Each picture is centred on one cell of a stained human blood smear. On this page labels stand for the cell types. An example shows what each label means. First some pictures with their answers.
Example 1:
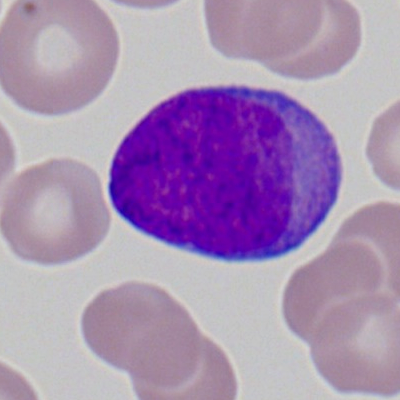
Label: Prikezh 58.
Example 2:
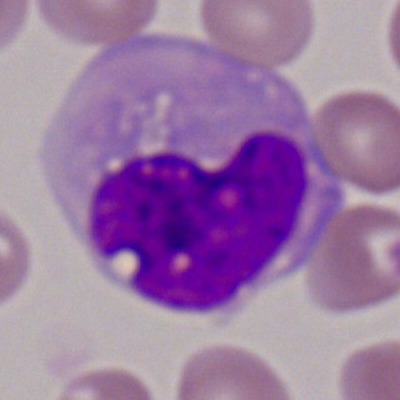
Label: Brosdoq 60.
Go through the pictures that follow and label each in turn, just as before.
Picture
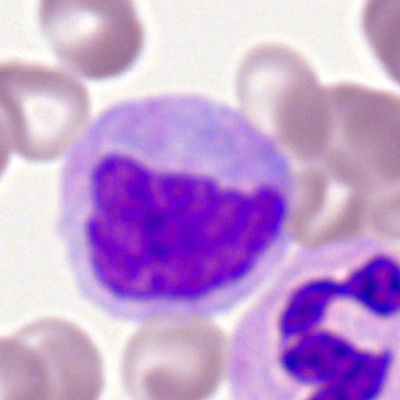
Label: Brosdoq 60.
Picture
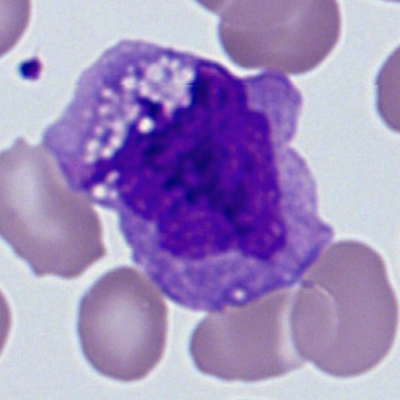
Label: Brosdoq 60.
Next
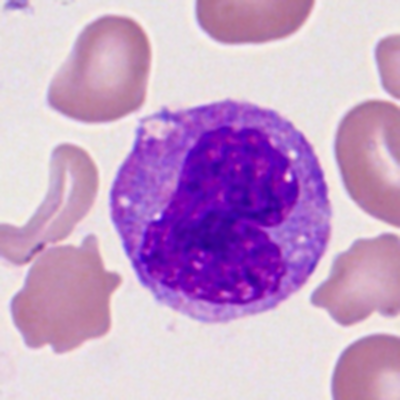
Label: Brosdoq 60.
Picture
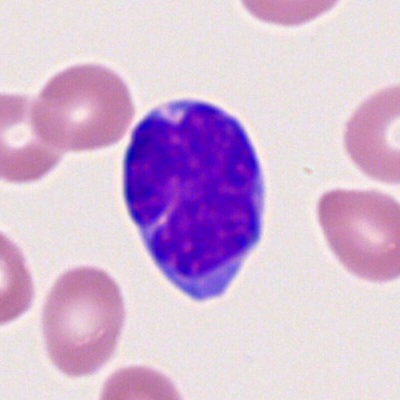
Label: Brosdoq 60.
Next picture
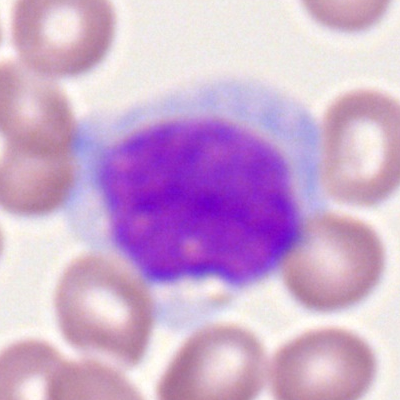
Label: Brosdoq 60.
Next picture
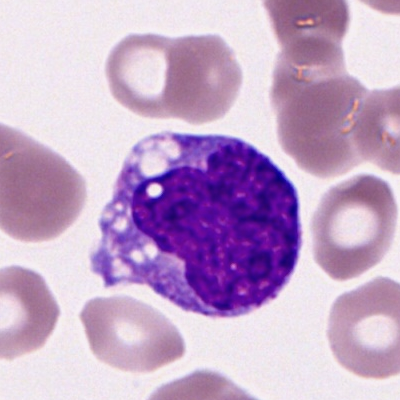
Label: Brosdoq 60.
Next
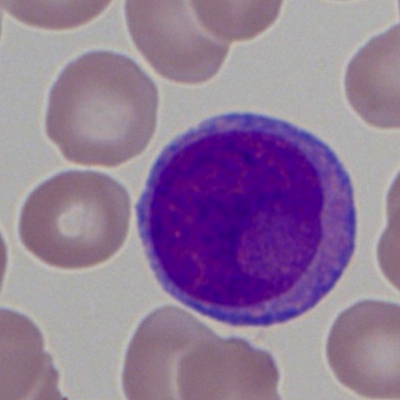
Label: Prikezh 58.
